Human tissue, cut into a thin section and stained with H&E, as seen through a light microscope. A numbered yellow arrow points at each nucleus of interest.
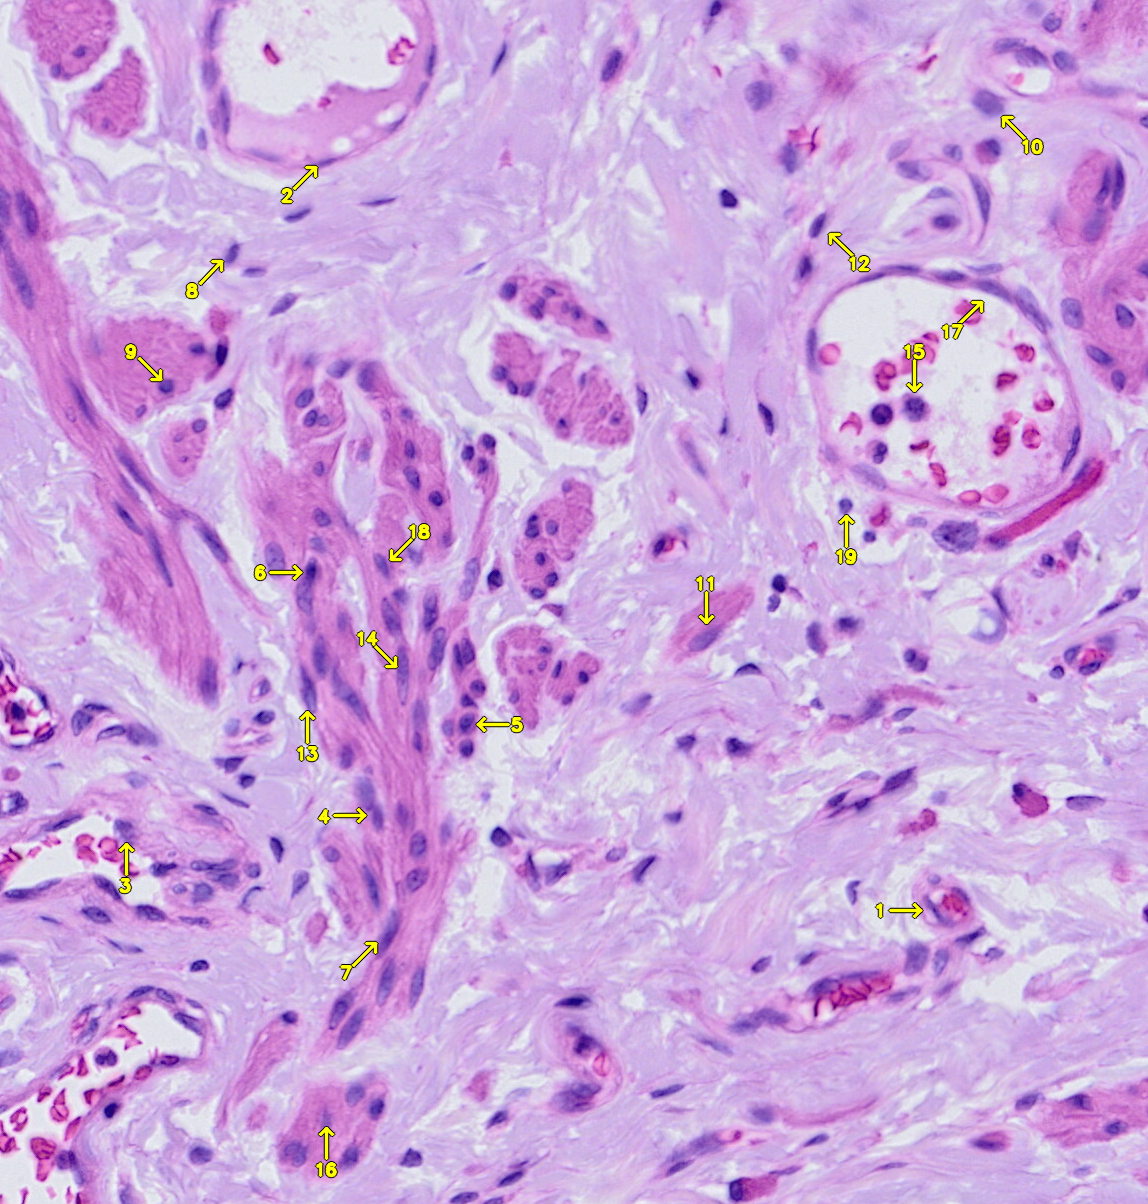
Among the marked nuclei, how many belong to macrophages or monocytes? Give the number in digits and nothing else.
1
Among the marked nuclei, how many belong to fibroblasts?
3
